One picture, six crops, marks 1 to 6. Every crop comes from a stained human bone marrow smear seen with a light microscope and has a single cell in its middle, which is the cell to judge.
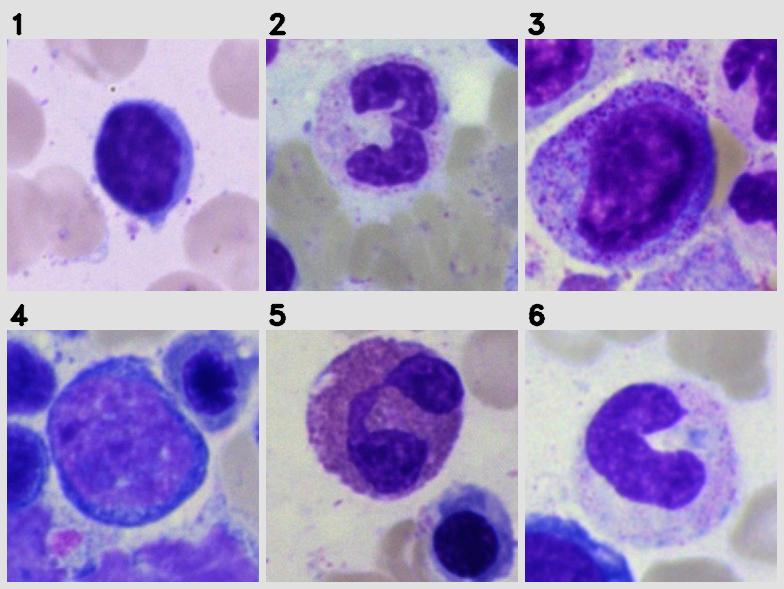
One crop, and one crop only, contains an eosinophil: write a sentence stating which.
Crop 5 alone, of all the crops, shows an eosinophil.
